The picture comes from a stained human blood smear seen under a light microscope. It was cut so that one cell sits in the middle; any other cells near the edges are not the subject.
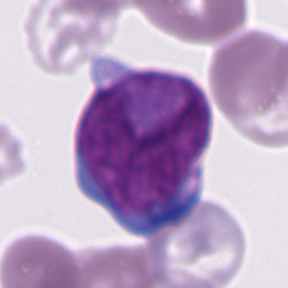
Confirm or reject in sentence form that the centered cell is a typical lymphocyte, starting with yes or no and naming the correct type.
No, in this crop the middle cell is a myeloblast, not a typical lymphocyte.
